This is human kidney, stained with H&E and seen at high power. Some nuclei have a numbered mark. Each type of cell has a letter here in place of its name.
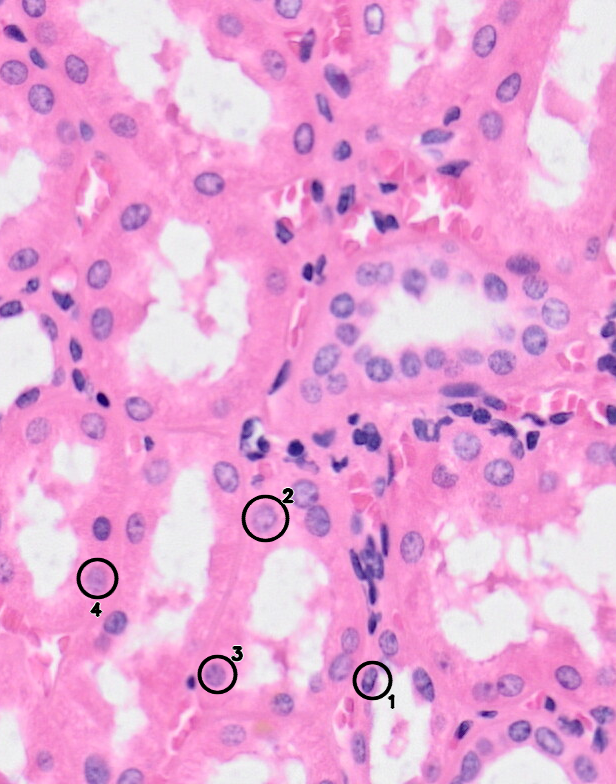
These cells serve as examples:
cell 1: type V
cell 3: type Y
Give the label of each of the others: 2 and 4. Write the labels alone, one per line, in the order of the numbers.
type Y
type Y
